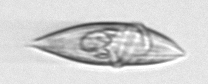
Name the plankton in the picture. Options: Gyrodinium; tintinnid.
Gyrodinium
